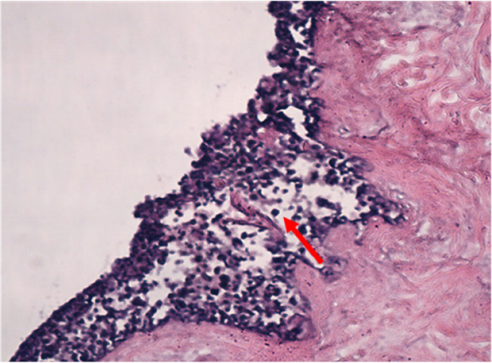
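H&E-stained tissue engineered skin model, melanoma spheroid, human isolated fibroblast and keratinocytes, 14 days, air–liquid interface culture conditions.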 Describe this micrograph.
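This section shows a thin cellular epidermal layer of purple-nucleated cells resting on dense pink dermis. The cells are loosely arranged, with clear empty spaces opening between them. Within the layer a few elongated pink strands run among the cells. The border with the pink fibrous dermis below is fairly distinct.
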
